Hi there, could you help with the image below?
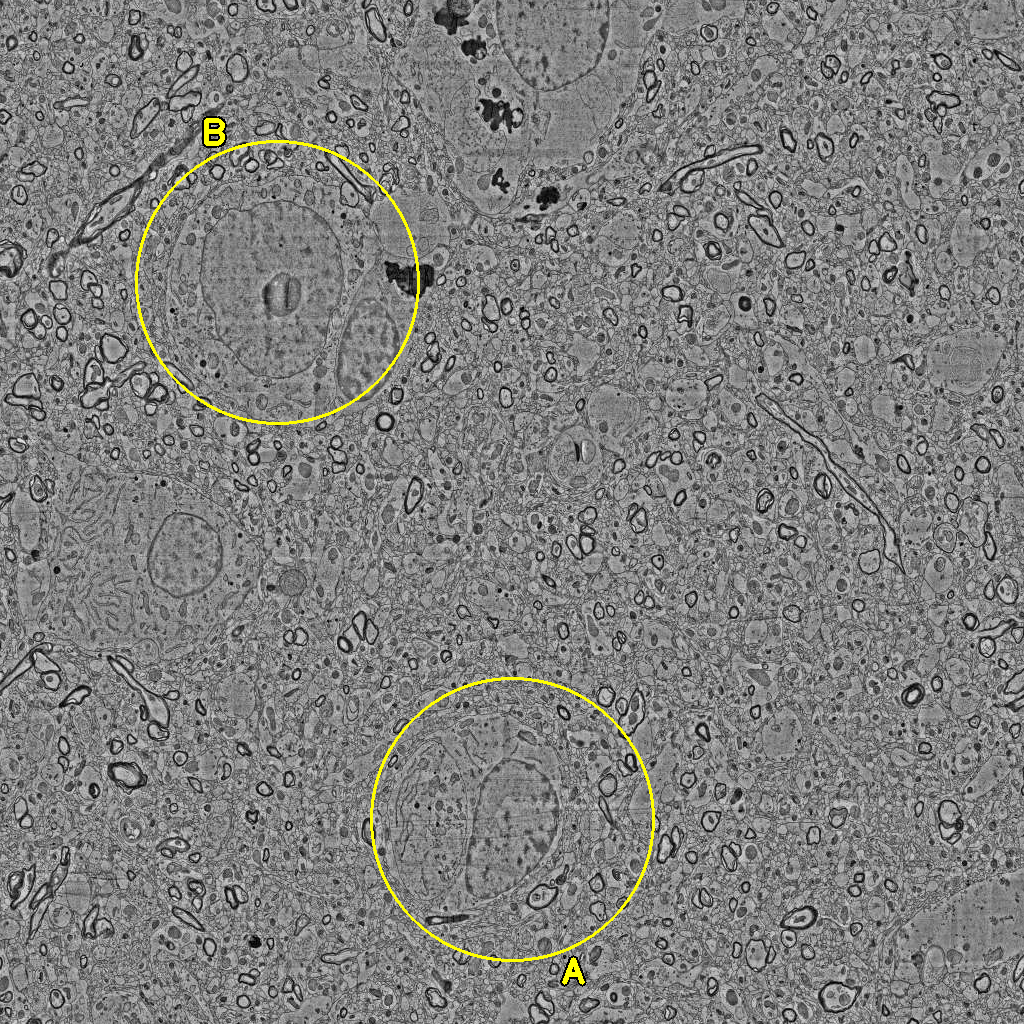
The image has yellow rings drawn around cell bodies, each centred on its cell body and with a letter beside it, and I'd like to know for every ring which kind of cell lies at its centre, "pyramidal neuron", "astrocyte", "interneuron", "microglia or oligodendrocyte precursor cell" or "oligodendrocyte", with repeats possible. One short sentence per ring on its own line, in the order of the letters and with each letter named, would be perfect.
Ring A is placed around a microglial cell or oligodendrocyte precursor cell.
Ring B is placed around a pyramidal neuron.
